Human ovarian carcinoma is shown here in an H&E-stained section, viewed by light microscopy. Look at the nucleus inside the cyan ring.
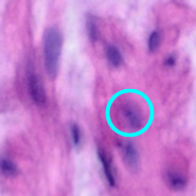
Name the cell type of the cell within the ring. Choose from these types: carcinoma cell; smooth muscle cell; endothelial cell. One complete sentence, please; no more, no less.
Among the cells in this section, the cell within the ring is a smooth muscle cell.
